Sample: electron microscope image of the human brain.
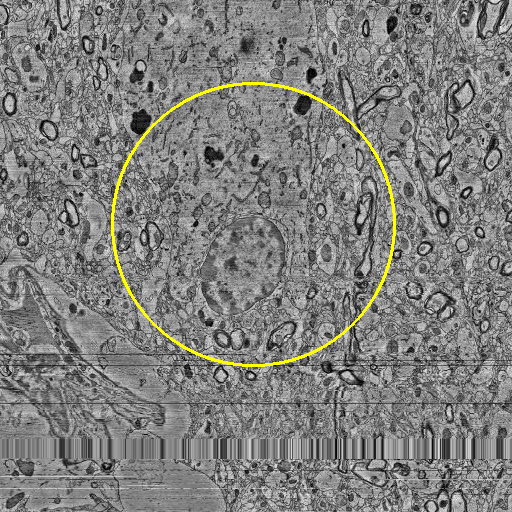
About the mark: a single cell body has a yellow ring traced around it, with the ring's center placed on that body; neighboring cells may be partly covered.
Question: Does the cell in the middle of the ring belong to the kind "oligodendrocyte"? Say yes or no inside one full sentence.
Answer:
No, the cell at the ring's center in this image belongs to a different kind.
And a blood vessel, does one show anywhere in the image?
Yes, a blood vessel is present in this picture.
